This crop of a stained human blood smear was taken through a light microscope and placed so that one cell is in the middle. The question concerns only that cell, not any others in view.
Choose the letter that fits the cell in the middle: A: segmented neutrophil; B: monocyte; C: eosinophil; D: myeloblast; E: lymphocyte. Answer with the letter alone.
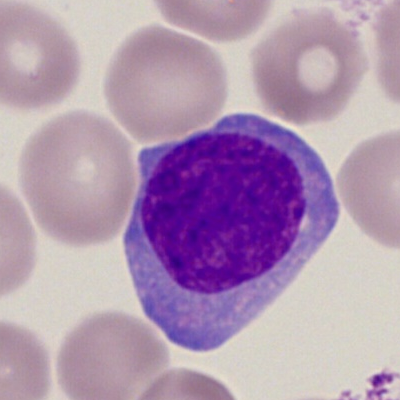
D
